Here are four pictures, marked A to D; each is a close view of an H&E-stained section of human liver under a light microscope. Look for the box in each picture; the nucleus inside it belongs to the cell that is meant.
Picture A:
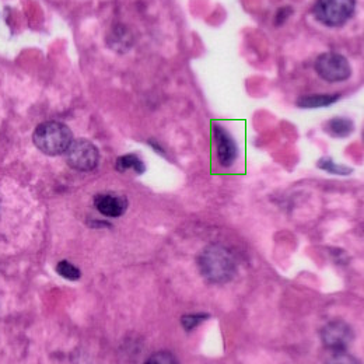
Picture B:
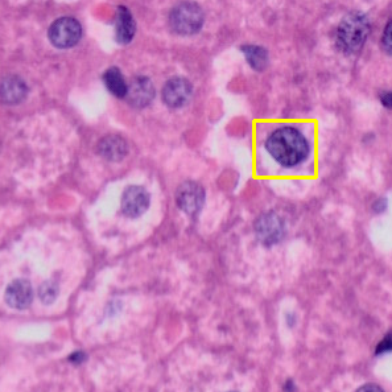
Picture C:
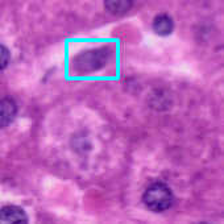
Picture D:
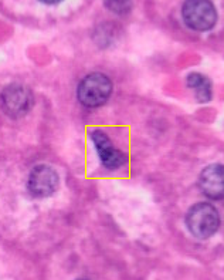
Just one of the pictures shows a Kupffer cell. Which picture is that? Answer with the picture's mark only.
C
